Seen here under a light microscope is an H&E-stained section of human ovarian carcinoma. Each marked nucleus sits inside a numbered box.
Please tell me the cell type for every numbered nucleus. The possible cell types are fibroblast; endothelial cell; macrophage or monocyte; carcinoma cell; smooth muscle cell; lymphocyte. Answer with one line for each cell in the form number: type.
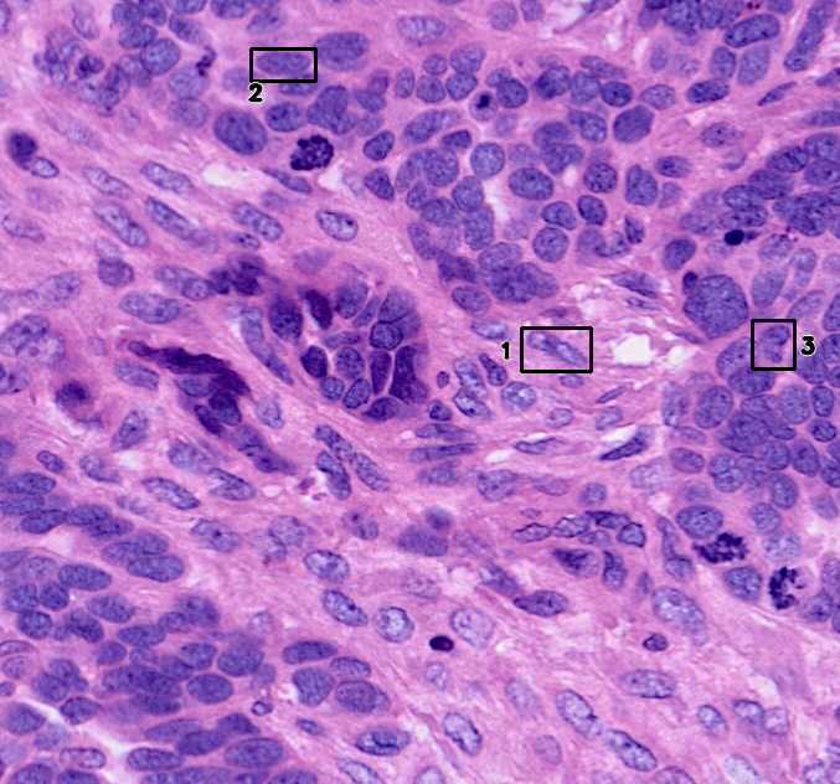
1: fibroblast
2: carcinoma cell
3: carcinoma cell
